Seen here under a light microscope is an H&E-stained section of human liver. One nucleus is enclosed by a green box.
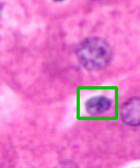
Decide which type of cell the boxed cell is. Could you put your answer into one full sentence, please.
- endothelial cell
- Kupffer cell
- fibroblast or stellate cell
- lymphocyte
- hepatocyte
In the stained section, the boxed cell is an endothelial cell.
